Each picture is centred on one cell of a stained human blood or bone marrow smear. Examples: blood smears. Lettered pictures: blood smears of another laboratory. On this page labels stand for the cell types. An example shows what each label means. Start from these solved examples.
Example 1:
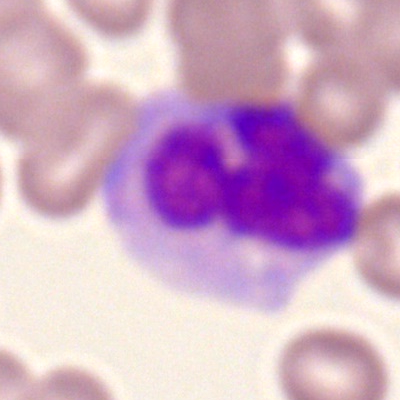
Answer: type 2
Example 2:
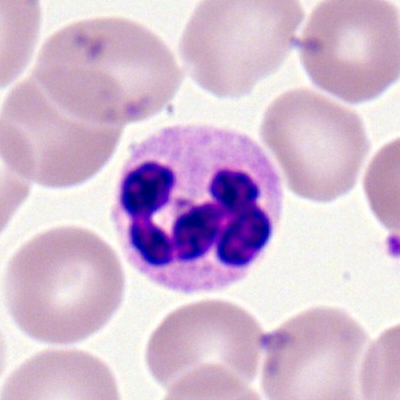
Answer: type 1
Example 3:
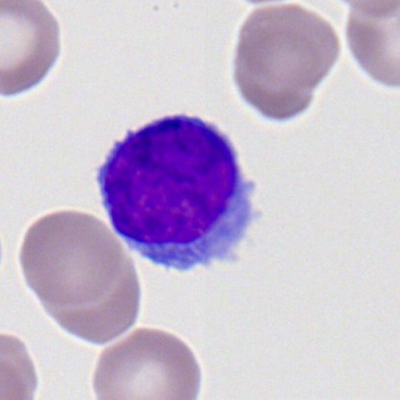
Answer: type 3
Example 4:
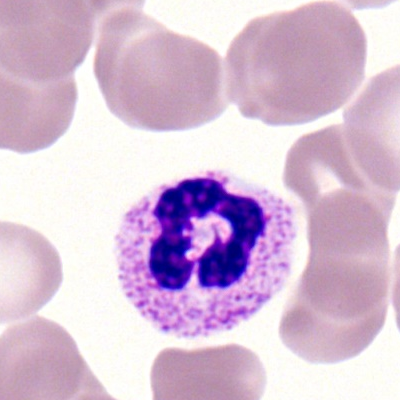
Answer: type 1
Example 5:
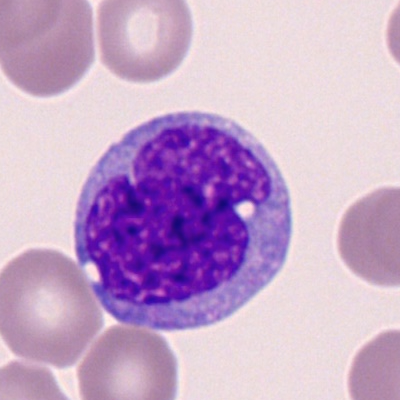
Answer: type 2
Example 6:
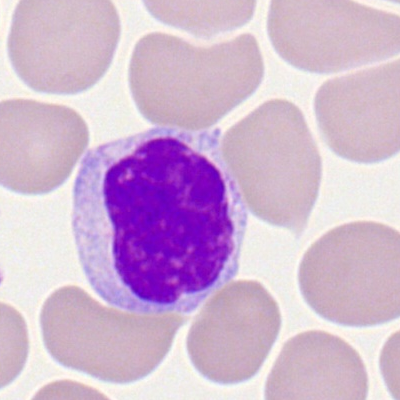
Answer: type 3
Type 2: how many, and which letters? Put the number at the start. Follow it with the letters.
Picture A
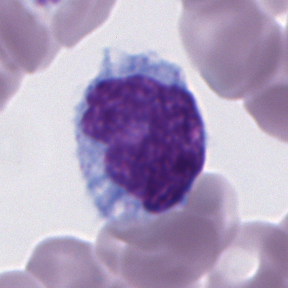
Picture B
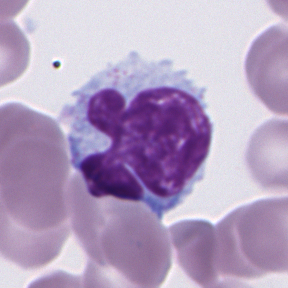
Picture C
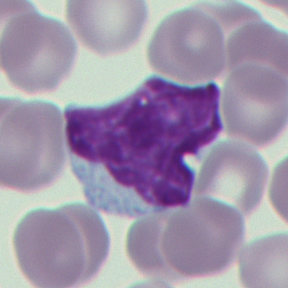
2, namely A, B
